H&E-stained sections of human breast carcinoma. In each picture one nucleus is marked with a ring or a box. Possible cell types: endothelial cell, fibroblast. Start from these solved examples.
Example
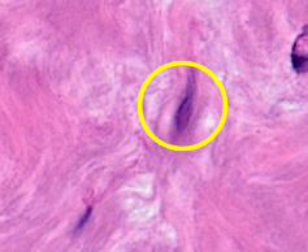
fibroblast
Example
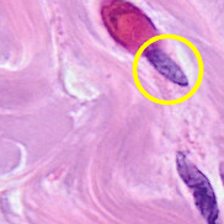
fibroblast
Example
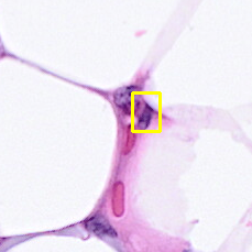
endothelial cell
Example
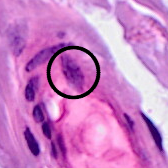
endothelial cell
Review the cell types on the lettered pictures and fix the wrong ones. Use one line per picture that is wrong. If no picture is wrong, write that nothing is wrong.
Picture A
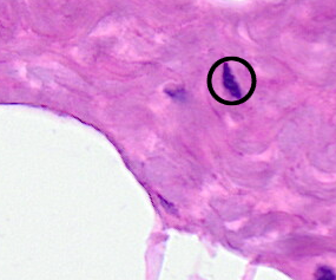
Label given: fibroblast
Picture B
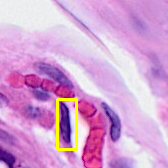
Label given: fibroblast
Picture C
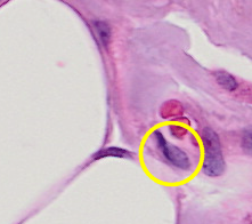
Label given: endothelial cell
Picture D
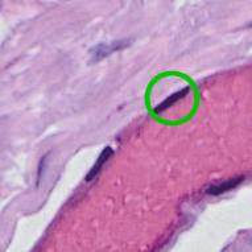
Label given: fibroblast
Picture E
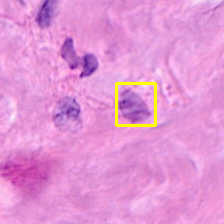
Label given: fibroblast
B: change fibroblast to endothelial cell
D: change fibroblast to endothelial cell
